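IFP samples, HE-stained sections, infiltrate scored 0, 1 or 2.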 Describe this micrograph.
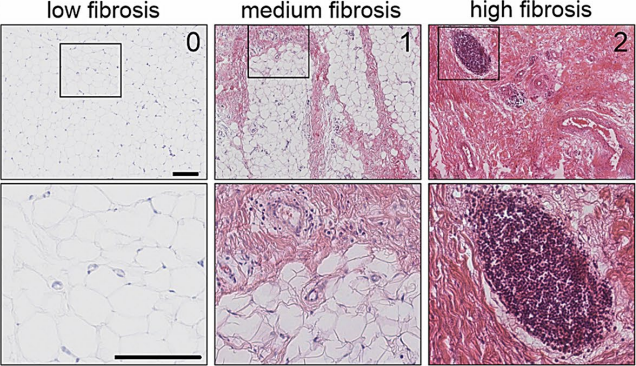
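Three fields of fat pad tissue in hematoxylin and eosin, each as an overview above and an enlarged boxed area below. The left field shows only fat cells with thin septa and scattered flat nuclei, without clusters of small round nuclei. The middle field shows pink fibrous strands between fat cells, with small vessels surrounded by a few small dark nuclei.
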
